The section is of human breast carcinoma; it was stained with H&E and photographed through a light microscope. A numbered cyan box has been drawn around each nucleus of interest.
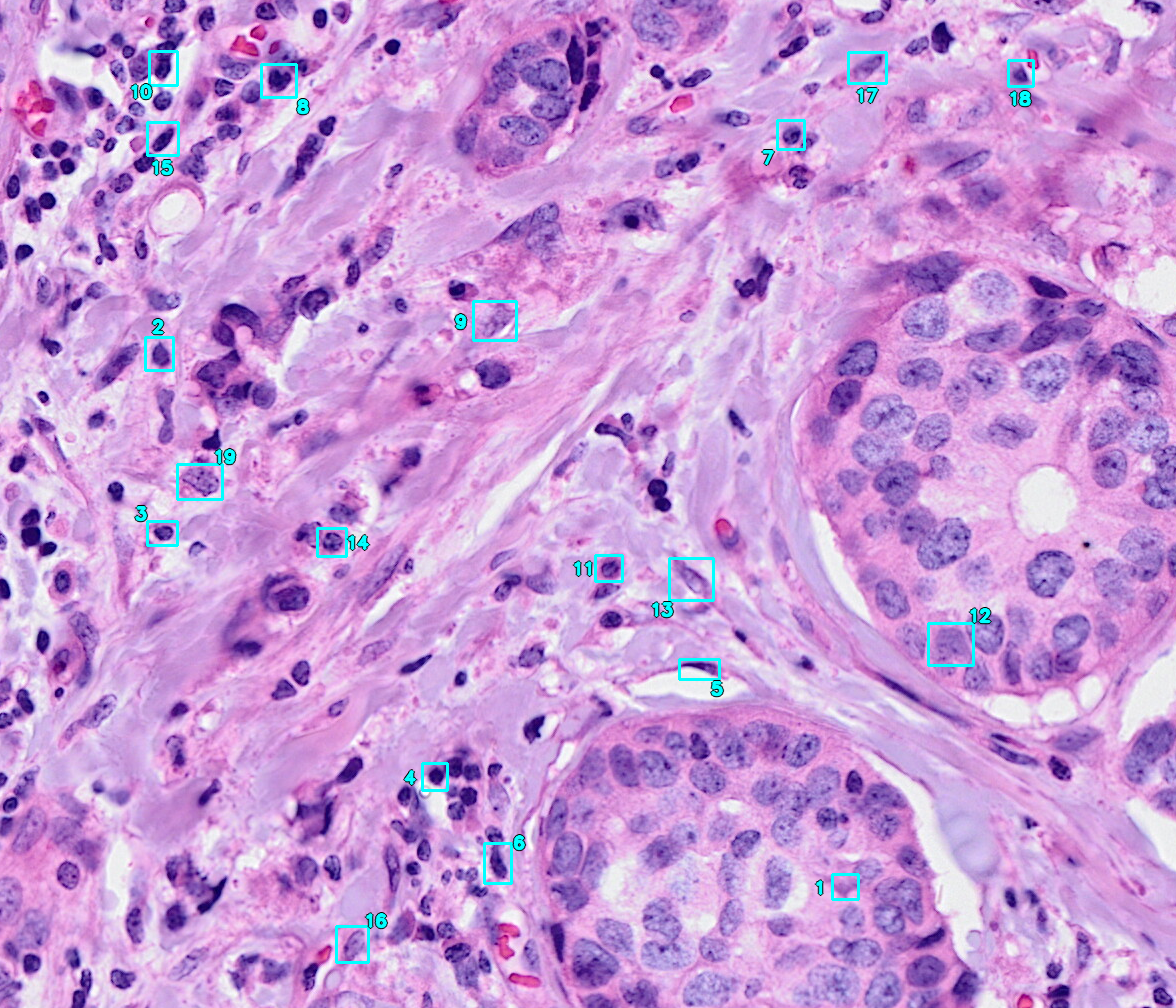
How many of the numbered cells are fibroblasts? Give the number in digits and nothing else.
4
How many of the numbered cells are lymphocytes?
8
